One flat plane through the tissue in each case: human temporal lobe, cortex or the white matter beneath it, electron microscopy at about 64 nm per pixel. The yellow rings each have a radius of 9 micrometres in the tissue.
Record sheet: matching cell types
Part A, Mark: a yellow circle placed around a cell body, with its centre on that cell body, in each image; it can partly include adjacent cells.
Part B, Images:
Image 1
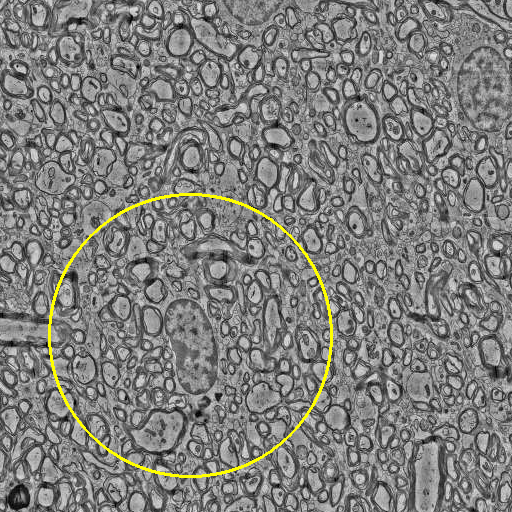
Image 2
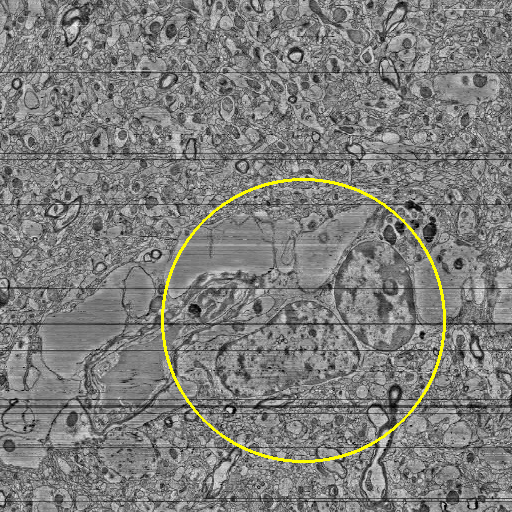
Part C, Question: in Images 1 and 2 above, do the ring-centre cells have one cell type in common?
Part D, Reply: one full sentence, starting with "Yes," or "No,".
Yes, the ring-centre cells of Image 1 and Image 2 are both of a single cell type.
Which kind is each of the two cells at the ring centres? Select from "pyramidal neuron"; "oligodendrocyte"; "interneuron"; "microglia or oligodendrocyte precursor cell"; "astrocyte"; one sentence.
Each one of the two ringed cells is a microglial cell or oligodendrocyte precursor cell.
